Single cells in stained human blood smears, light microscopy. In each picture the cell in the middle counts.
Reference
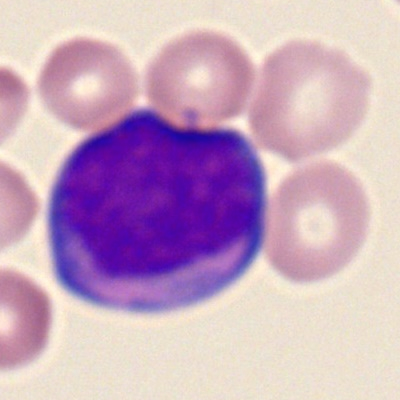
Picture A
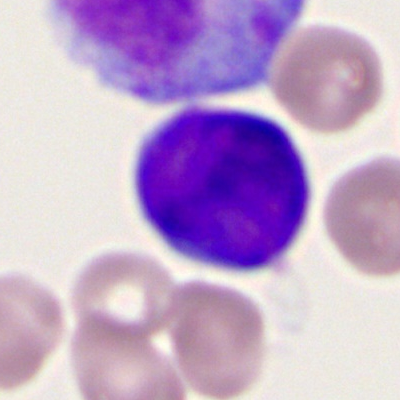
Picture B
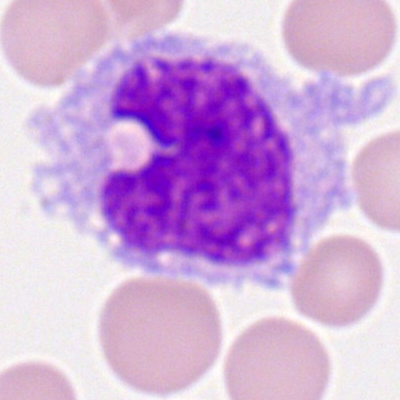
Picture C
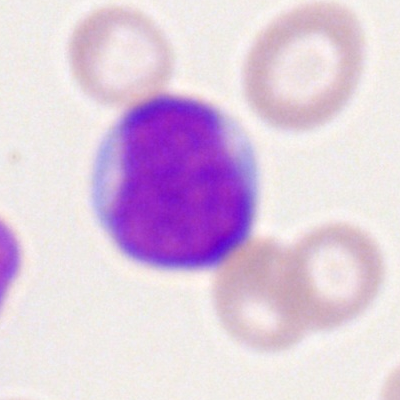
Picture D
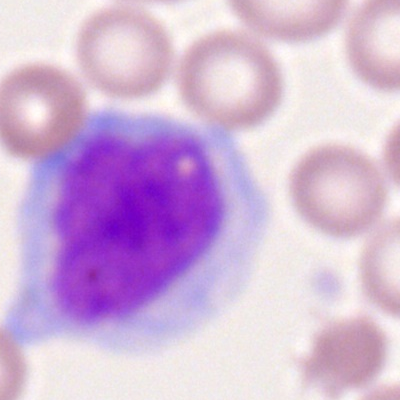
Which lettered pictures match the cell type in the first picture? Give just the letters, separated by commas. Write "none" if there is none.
A, C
